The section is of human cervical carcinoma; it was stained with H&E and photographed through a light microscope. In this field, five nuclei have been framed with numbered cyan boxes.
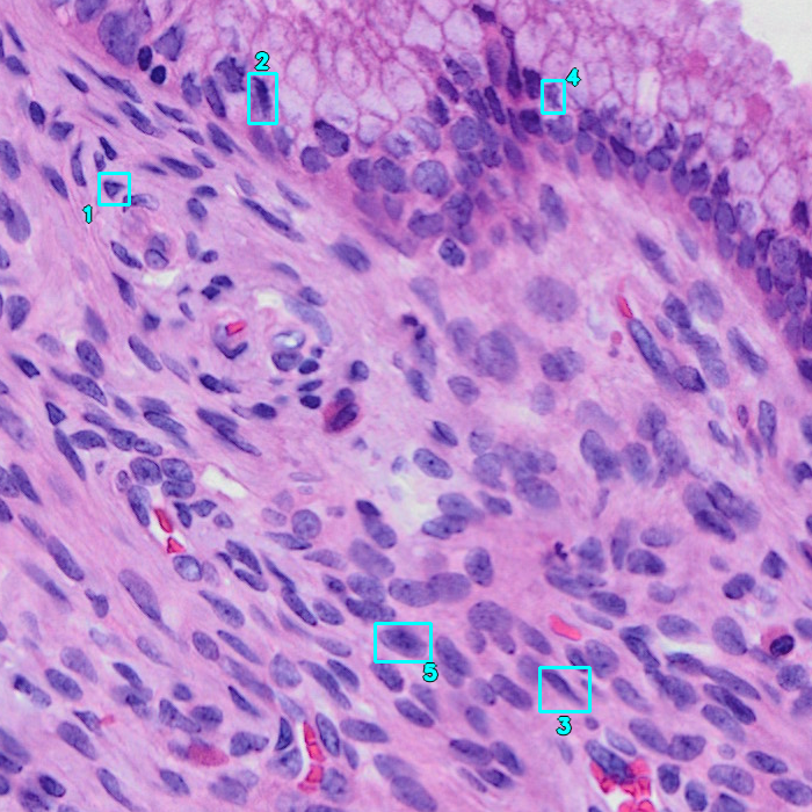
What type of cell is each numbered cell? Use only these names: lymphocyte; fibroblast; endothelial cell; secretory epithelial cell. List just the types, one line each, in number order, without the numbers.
fibroblast
secretory epithelial cell
fibroblast
secretory epithelial cell
fibroblast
